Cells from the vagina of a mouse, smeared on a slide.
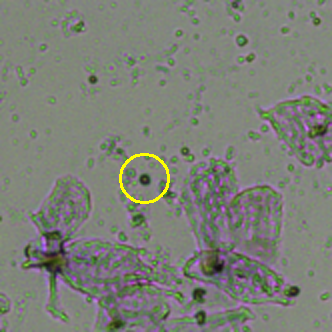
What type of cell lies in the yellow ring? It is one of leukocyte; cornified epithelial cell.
The ringed cell is a leukocyte.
